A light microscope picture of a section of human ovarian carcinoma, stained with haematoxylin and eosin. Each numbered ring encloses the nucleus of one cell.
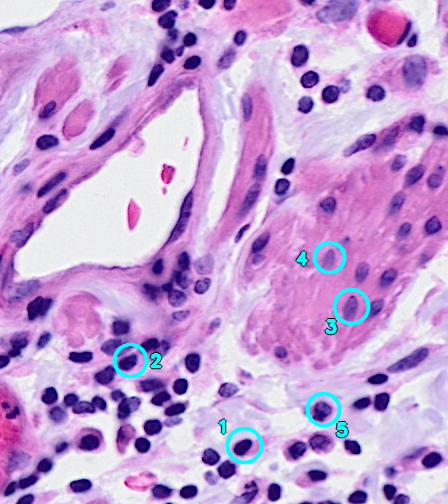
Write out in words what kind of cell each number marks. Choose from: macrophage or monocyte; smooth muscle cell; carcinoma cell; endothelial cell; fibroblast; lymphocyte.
Cell 1 is a lymphocyte, cell 2 is a lymphocyte, cell 3 is a smooth muscle cell, cell 4 is a smooth muscle cell and cell 5 is a lymphocyte.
